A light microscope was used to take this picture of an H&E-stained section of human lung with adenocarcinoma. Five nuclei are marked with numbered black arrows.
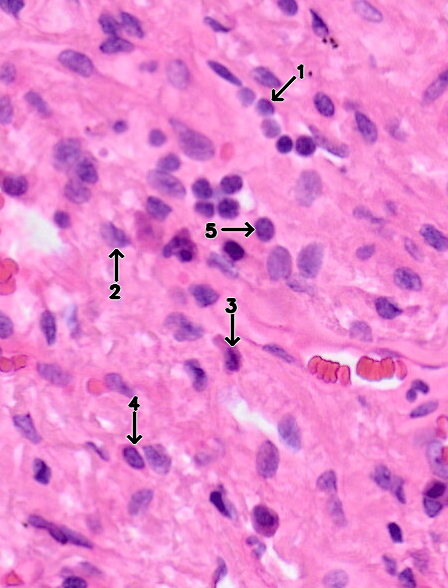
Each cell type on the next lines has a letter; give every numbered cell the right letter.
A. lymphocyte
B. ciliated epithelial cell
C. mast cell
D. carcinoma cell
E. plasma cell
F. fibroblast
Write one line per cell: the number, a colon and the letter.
1: A
2: F
3: E
4: C
5: A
